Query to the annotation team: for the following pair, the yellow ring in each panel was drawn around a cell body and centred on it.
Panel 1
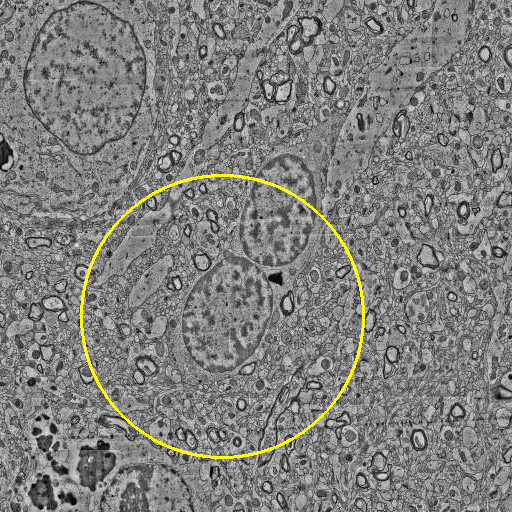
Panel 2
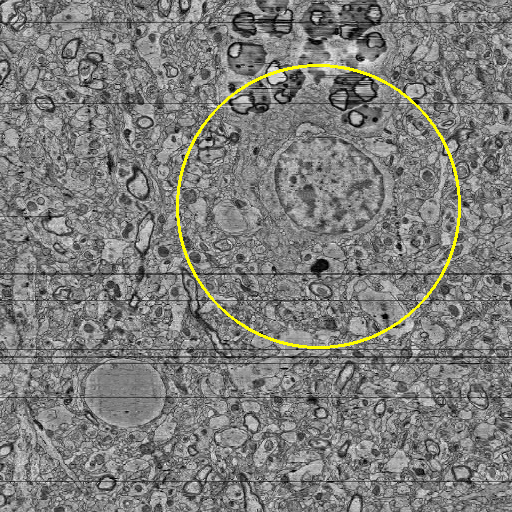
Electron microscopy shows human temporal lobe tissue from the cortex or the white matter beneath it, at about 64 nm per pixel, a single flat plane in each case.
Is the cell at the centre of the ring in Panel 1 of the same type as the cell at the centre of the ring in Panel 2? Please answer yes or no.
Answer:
yes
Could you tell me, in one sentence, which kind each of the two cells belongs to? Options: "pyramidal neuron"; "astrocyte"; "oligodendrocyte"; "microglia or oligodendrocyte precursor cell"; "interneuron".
In both pictures the ring is centred on an oligodendrocyte.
